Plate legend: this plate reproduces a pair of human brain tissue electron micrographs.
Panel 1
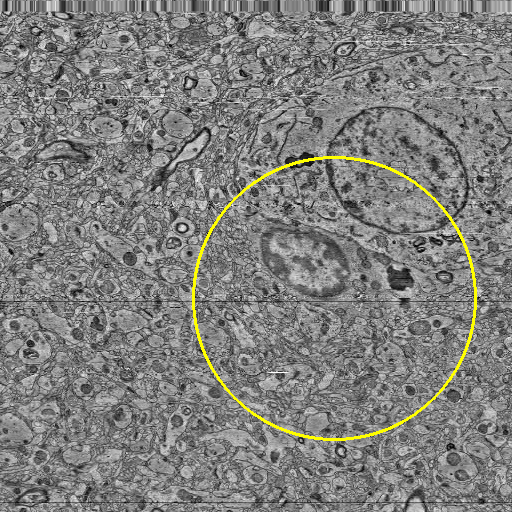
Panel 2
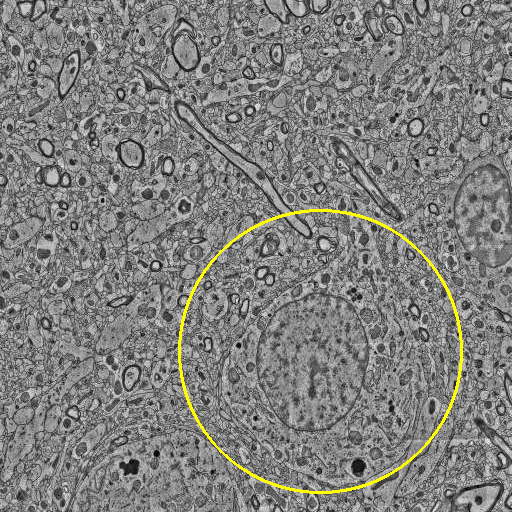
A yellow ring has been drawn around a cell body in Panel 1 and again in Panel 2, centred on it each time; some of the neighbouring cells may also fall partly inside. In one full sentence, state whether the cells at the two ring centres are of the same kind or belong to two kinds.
The ring-centred cells of Panel 1 and Panel 2 belong to two kinds.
